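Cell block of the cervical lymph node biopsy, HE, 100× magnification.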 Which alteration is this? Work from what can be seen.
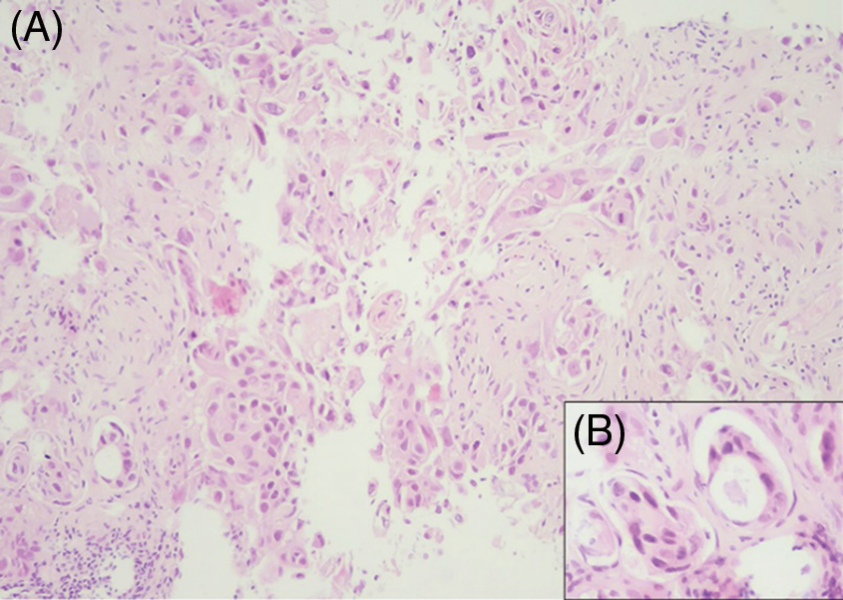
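Pleomorphic nuclei. Nuclei of the tumour cells vary widely in size and shape. Cells have abundant pink cytoplasm and enlarged nuclei.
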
